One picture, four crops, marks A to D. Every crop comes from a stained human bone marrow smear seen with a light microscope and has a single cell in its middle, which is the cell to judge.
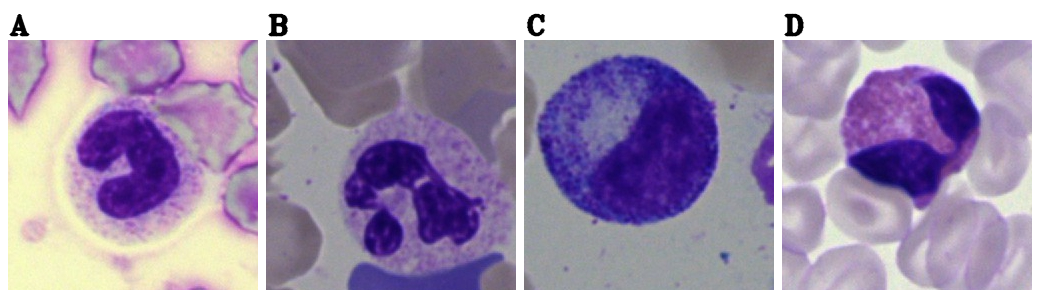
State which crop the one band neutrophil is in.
A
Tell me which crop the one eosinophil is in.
D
